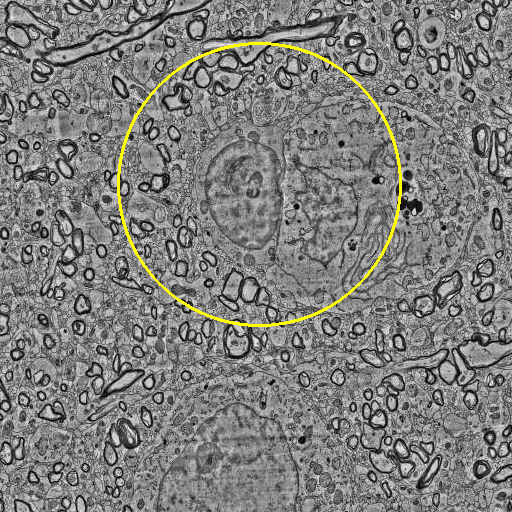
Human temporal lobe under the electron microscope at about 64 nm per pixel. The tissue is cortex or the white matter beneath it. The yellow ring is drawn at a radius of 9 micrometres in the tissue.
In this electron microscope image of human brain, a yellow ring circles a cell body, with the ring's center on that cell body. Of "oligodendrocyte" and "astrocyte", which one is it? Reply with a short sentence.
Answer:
It is an oligodendrocyte at the center of the ring.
